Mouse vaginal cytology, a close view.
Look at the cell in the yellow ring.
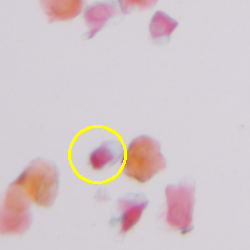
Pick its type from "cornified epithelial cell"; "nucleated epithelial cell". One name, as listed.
nucleated epithelial cell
